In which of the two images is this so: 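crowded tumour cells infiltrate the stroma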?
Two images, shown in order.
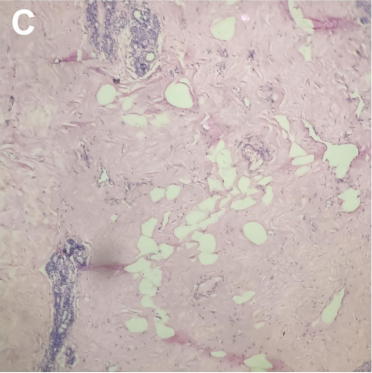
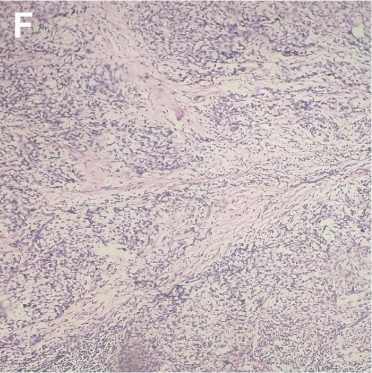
the second image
